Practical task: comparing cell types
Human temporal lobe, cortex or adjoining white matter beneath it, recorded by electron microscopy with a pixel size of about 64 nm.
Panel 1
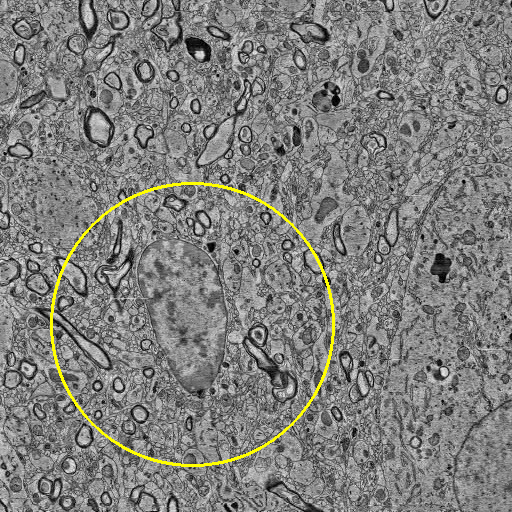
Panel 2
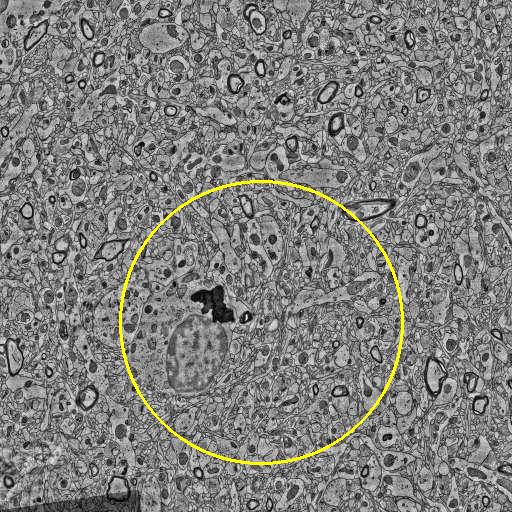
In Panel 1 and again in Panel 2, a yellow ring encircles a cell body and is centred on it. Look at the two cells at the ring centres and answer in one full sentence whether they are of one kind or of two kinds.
The two cells sitting at the ring centres of Panels 1 and 2 are of one kind.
